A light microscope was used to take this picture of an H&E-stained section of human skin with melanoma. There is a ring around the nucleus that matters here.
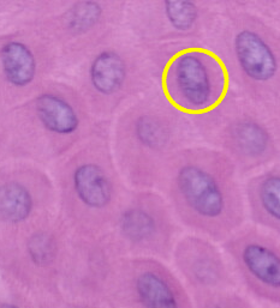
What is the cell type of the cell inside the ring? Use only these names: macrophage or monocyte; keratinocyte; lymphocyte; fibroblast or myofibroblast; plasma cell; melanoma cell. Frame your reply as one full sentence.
In the tissue under study, the cell inside the ring is a keratinocyte.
